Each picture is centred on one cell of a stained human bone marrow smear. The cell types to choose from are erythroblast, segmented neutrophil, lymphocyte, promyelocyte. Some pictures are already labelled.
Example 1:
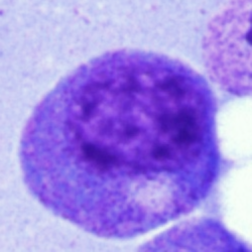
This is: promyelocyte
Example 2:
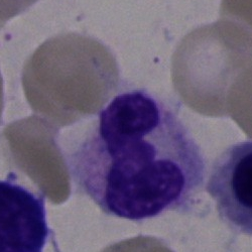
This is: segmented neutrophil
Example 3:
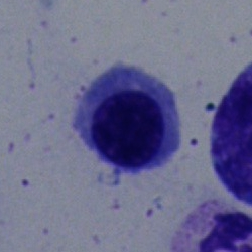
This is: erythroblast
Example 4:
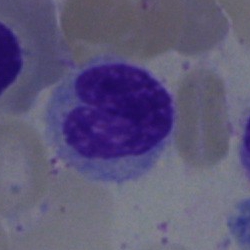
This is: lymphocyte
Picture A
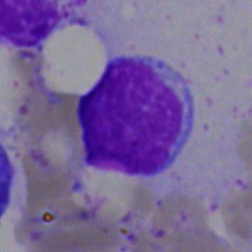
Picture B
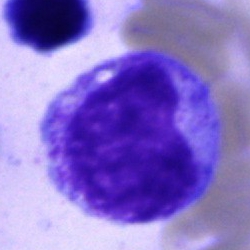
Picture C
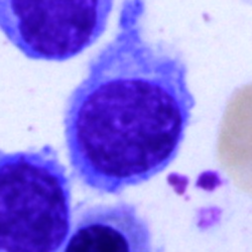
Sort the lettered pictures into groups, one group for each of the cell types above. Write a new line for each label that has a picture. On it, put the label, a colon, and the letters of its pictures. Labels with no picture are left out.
lymphocyte: A, C
promyelocyte: B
